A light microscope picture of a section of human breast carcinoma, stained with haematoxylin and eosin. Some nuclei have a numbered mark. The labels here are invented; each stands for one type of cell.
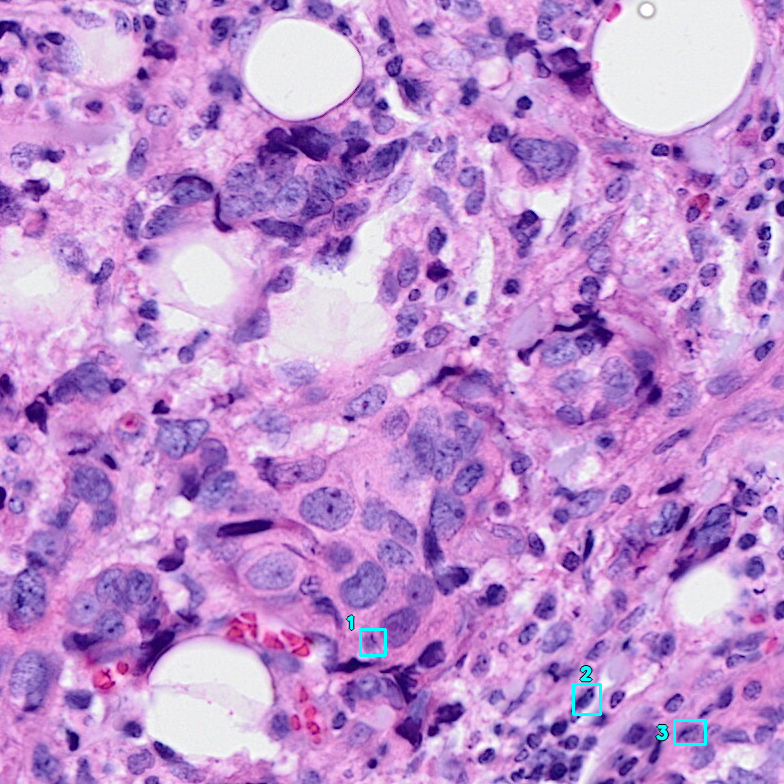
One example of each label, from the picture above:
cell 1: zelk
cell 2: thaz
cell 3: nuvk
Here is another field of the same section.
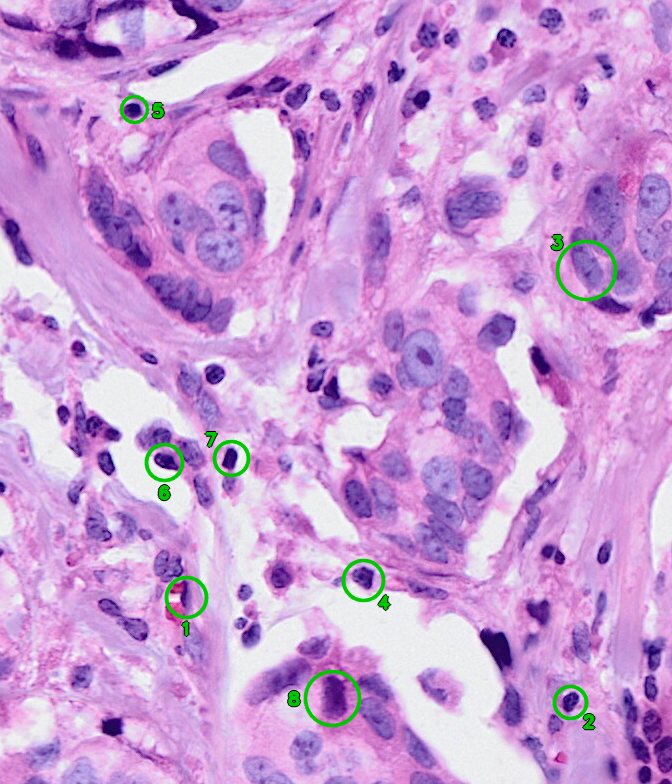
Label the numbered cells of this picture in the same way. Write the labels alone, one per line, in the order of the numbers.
nuvk
thaz
zelk
thaz
thaz
thaz
thaz
zelk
